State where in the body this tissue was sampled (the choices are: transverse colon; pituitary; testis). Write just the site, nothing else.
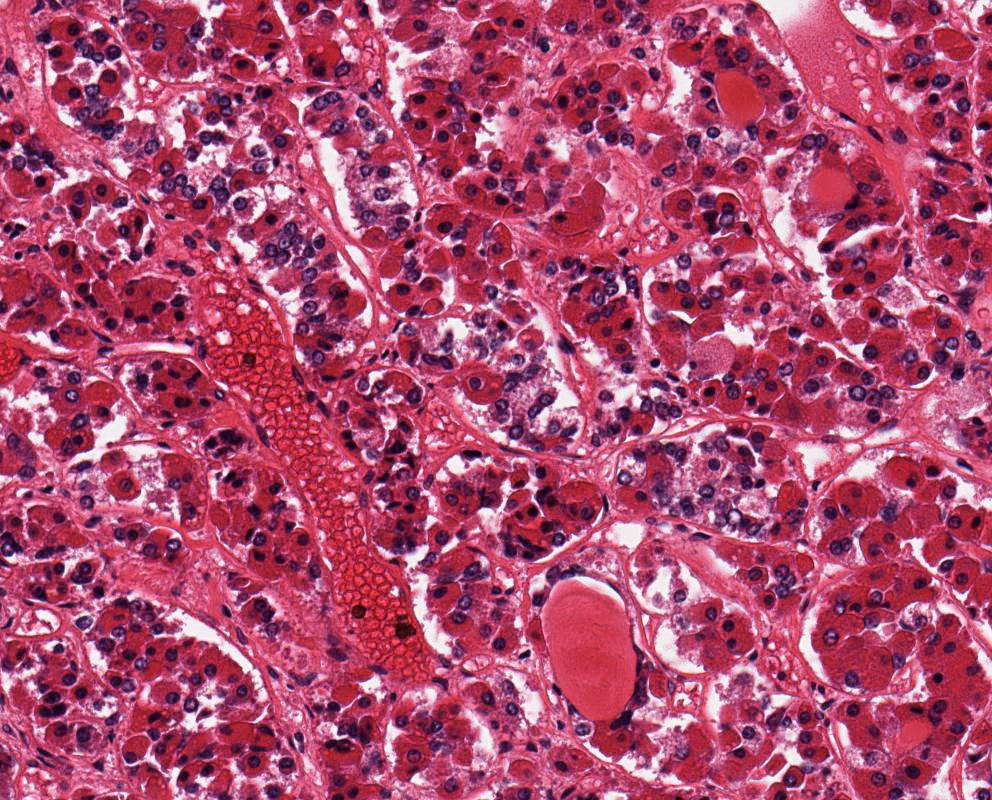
pituitary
